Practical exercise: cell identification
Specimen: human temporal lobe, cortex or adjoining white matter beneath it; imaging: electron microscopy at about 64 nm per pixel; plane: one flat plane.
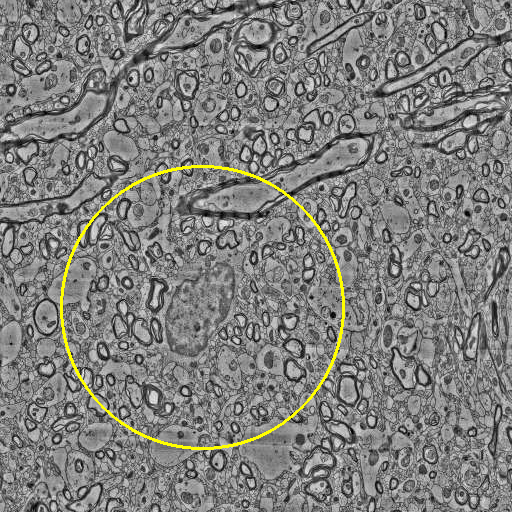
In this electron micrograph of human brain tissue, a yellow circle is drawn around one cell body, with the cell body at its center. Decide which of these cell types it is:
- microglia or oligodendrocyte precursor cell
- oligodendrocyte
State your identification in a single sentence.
The ringed cell is an oligodendrocyte.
